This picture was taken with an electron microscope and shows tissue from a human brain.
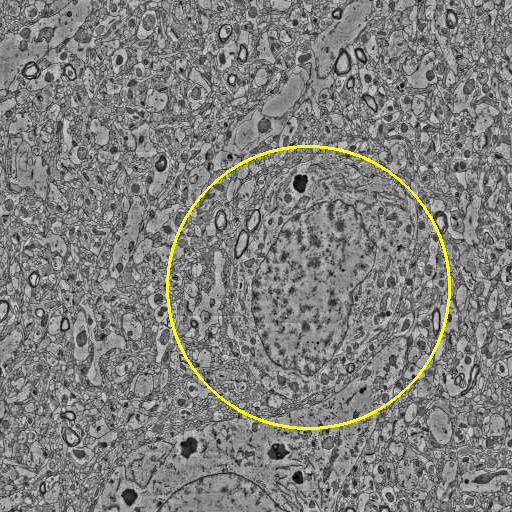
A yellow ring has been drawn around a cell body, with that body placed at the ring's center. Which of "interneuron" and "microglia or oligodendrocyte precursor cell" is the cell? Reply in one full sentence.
In this picture, an interneuron is the cell at the center of the yellow ring.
